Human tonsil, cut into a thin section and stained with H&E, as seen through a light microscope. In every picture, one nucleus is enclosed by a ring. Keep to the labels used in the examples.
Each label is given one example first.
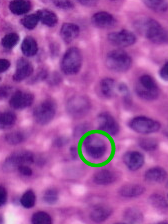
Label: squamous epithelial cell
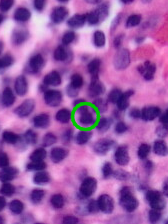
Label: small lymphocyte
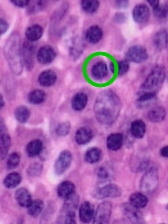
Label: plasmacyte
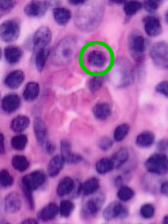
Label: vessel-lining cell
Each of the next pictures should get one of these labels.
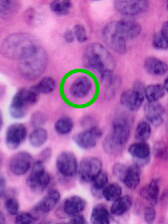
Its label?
vessel-lining cell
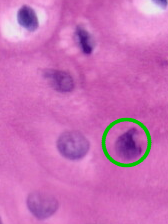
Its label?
squamous epithelial cell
